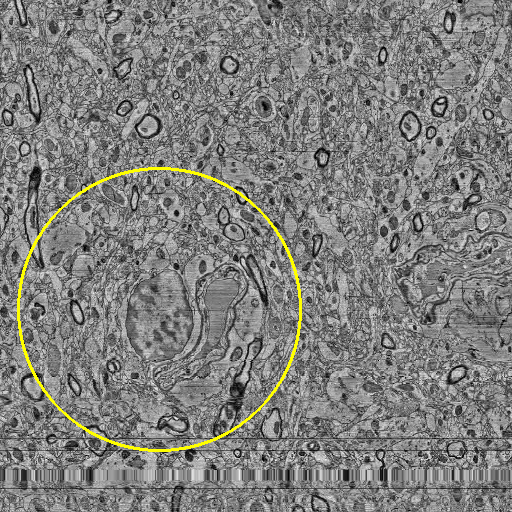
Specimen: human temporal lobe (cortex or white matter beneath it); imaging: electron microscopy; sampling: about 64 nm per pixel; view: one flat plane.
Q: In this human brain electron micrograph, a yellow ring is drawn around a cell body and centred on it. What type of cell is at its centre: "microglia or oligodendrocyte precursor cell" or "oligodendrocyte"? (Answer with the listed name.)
microglia or oligodendrocyte precursor cell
